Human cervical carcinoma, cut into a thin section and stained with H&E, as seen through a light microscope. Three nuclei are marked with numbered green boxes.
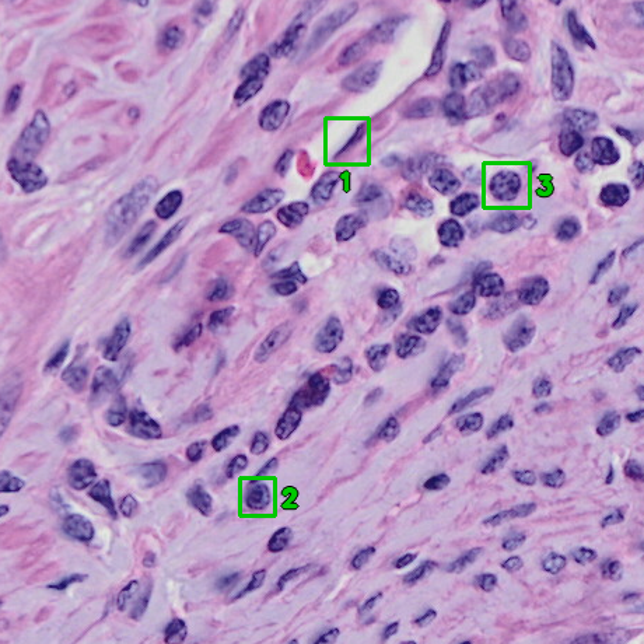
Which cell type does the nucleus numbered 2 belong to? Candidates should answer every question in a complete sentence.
The cell with the number 2 is a lymphocyte.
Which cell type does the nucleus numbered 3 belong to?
Corresponding to a lymphocyte is the cell labelled 3.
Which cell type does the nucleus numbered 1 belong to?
Cell 1 in the field is an endothelial cell.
